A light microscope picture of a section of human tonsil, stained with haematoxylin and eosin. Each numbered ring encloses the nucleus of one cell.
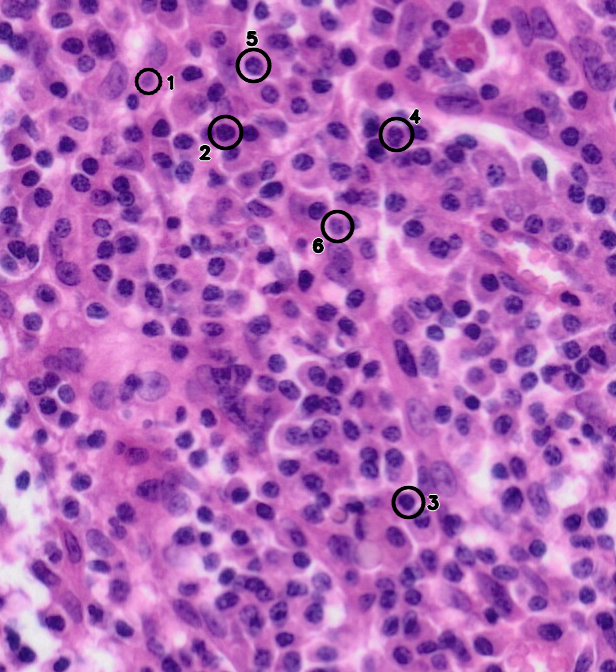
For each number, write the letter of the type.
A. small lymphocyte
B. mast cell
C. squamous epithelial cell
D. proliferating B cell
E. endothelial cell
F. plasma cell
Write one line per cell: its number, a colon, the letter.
1: C
2: F
3: F
4: F
5: F
6: C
